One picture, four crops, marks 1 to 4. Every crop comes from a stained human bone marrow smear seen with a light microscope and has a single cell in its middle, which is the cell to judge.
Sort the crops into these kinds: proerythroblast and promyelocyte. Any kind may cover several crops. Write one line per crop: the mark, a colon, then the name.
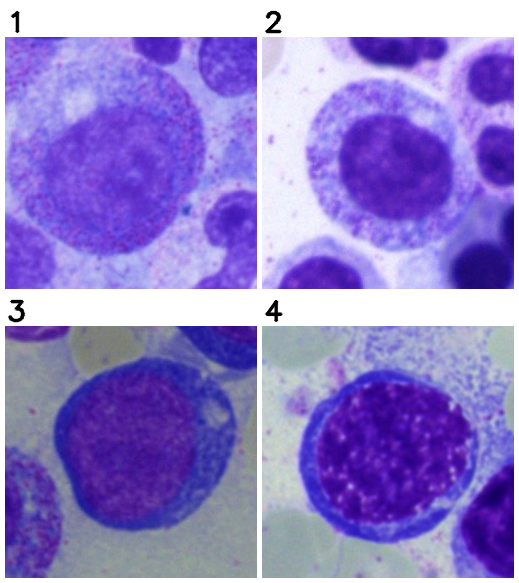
1: promyelocyte
2: promyelocyte
3: proerythroblast
4: proerythroblast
